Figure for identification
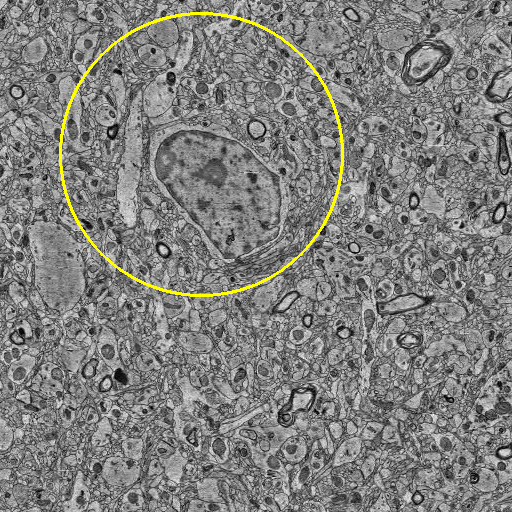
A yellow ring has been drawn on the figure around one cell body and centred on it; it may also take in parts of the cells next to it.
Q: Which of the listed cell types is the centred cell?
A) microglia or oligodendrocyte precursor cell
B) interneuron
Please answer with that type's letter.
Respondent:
A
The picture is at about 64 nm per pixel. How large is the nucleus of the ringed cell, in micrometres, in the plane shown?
The ringed cell's nucleus is about 9 micrometres long and 6 micrometres wide in this plane.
